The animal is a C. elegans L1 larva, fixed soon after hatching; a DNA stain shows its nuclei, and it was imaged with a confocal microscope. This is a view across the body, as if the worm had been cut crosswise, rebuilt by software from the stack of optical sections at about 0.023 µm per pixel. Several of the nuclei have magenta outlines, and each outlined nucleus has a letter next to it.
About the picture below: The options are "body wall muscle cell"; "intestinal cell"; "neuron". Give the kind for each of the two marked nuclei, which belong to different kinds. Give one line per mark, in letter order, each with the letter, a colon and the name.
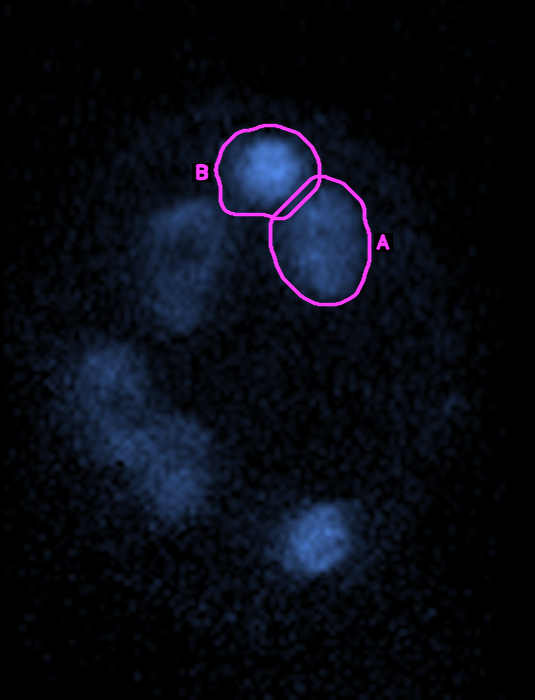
A: intestinal cell
B: neuron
